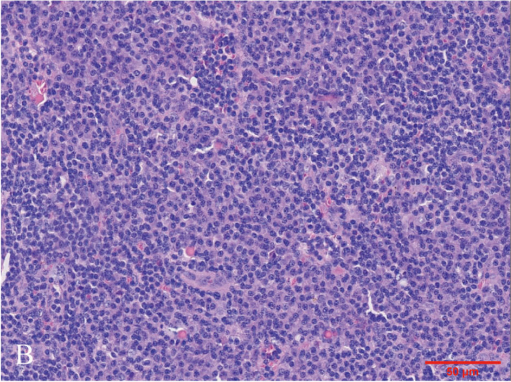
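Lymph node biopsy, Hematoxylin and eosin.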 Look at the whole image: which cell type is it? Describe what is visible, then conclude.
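Sheets of cells with round, eccentric dark nuclei and a rim of purple-pink cytoplasm. Cells lie densely packed between small vessels.
Plasma cells.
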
